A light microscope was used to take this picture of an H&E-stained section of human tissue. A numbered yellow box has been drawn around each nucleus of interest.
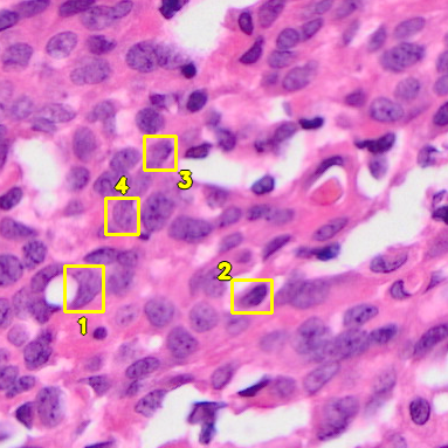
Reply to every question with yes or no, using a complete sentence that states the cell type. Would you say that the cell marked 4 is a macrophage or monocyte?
No, the cell bearing number 4 is not a macrophage or monocyte but a carcinoma cell.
